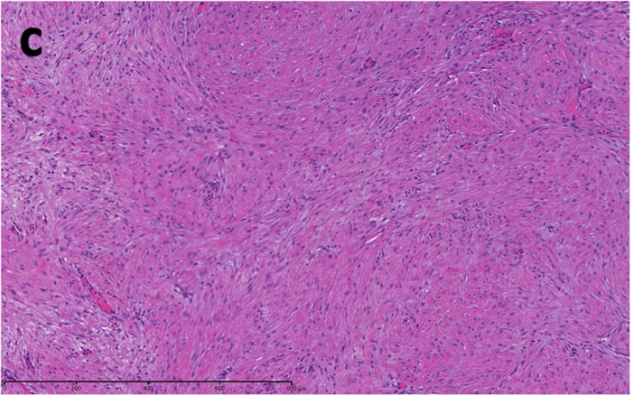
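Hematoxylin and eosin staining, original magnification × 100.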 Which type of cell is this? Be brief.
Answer: Spindle-shaped cells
